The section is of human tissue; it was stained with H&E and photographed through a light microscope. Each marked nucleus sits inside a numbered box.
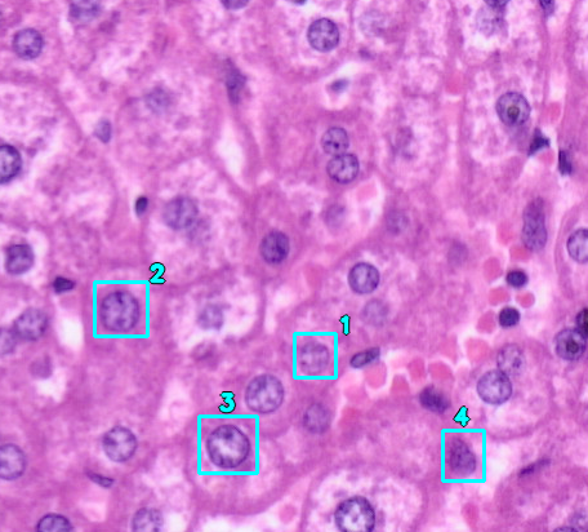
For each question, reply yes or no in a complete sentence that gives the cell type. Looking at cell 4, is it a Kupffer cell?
Yes, the cell corresponding to number 4 is a Kupffer cell.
